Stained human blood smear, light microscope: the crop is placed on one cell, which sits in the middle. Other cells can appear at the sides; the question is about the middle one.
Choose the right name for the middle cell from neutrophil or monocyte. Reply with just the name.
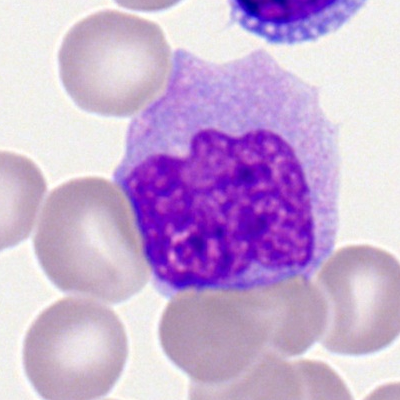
monocyte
